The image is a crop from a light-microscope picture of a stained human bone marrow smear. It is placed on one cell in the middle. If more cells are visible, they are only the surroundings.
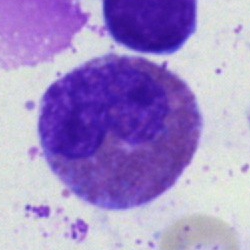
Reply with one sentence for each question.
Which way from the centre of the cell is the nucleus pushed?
The nucleus lies toward the upper left of the cell.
